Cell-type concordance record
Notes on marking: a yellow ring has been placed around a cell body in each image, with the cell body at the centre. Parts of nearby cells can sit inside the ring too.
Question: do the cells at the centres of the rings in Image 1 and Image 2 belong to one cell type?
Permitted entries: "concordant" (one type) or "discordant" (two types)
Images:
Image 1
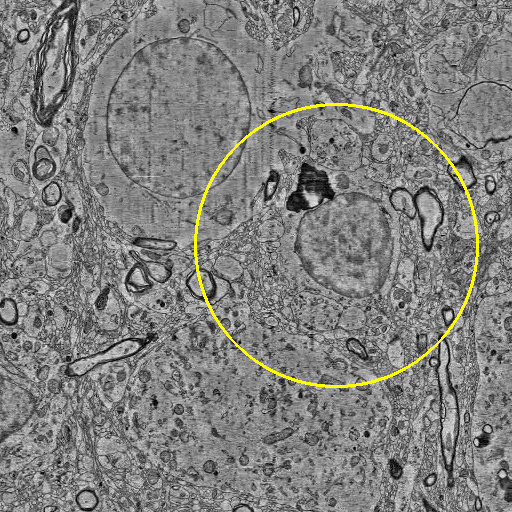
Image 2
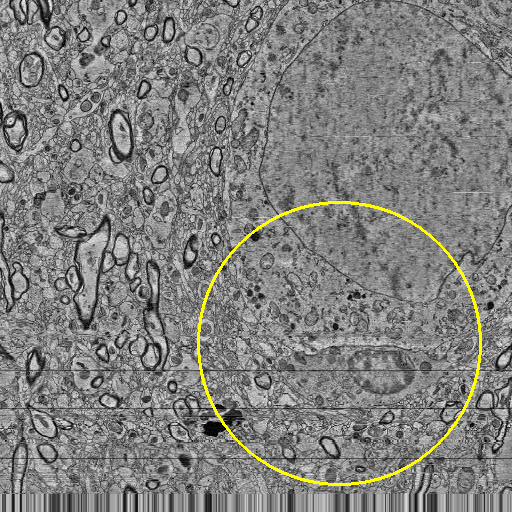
concordant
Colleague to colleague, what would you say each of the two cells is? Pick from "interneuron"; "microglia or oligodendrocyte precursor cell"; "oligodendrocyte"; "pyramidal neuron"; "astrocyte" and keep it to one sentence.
The second cell is an oligodendrocyte, just as the first is.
